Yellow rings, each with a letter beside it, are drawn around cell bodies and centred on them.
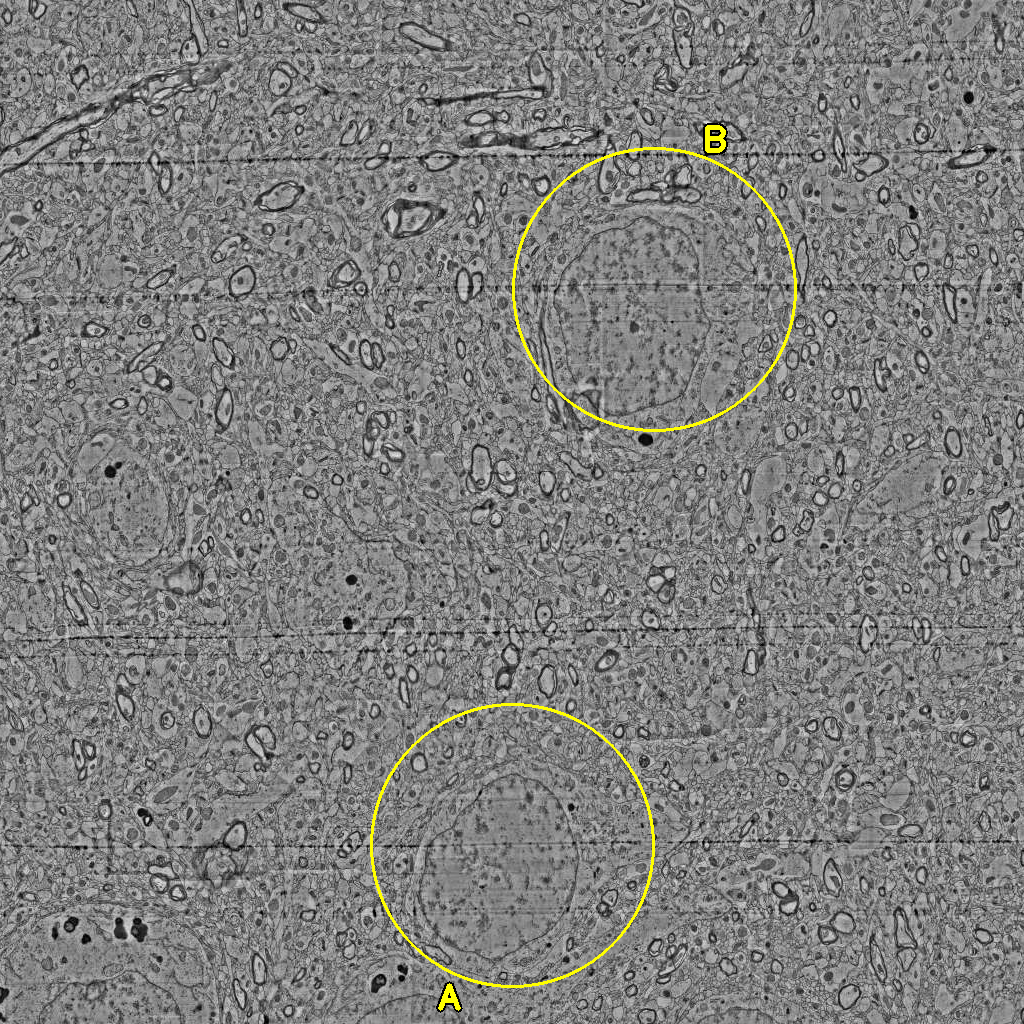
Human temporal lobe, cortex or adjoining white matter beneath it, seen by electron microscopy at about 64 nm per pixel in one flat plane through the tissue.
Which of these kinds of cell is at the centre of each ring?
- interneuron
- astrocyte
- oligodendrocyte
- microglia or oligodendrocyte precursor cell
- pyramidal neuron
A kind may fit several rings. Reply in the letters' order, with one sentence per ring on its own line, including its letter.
The cell in the middle of ring A is a pyramidal neuron.
The cell in the middle of ring B is a pyramidal neuron.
